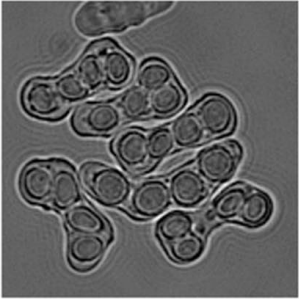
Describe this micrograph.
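These are asci, each a short sac packed with round to oval spores, most holding four arranged in a row or cluster. The spores are sharply outlined by dark, thick-looking walls and fill most of the ascus.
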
